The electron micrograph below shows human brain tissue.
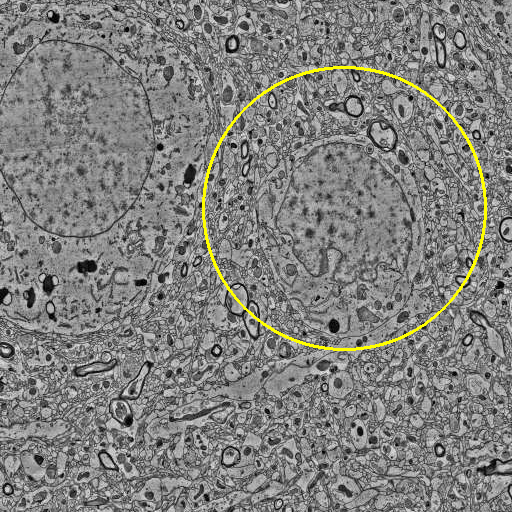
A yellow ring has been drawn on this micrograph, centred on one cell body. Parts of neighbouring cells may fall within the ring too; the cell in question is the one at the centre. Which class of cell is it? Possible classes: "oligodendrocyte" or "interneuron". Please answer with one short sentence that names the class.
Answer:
In the centre of the ring sits an interneuron.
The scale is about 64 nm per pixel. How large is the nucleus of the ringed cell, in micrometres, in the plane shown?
About 9 by 8 micrometers, in this plane.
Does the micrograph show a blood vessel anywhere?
No.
